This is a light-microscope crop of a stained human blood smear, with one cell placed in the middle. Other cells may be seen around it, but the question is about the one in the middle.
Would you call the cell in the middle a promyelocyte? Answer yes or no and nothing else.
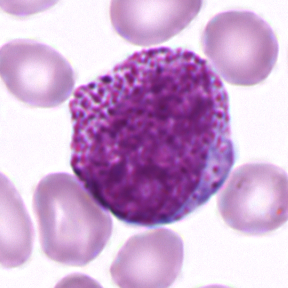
yes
